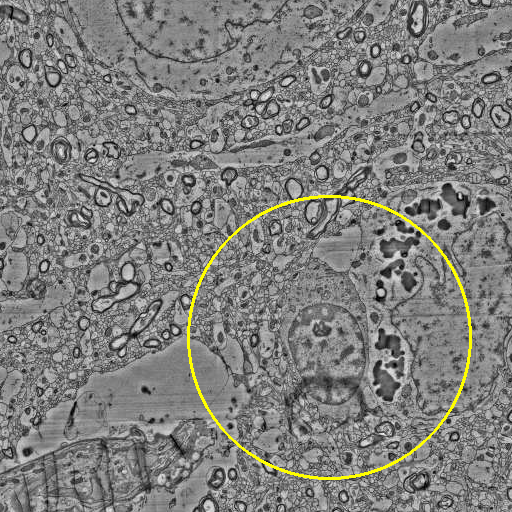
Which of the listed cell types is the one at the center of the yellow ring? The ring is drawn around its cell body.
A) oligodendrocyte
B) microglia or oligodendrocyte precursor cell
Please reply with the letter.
A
